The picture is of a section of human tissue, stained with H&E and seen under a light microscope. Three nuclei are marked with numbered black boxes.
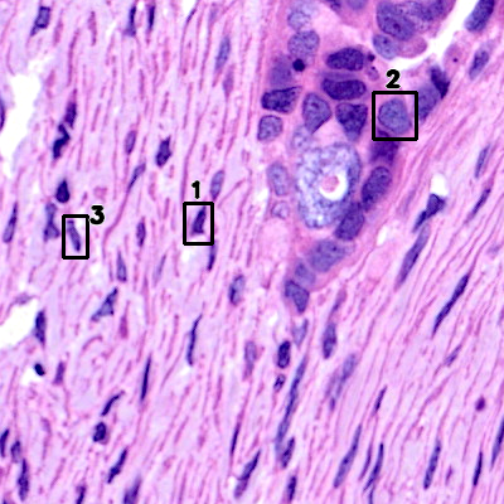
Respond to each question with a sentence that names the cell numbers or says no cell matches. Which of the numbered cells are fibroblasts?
As for the cells numbered 1 and 3, they are fibroblasts.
